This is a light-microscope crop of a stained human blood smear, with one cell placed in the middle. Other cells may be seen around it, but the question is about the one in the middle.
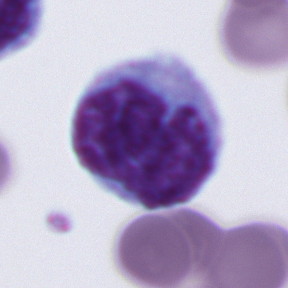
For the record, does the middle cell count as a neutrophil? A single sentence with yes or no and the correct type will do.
No, it is a monocyte and not a neutrophil that occupies the middle of the crop.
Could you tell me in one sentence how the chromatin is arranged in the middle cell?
Take a look at the chromatin, which is coarsely clumped.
